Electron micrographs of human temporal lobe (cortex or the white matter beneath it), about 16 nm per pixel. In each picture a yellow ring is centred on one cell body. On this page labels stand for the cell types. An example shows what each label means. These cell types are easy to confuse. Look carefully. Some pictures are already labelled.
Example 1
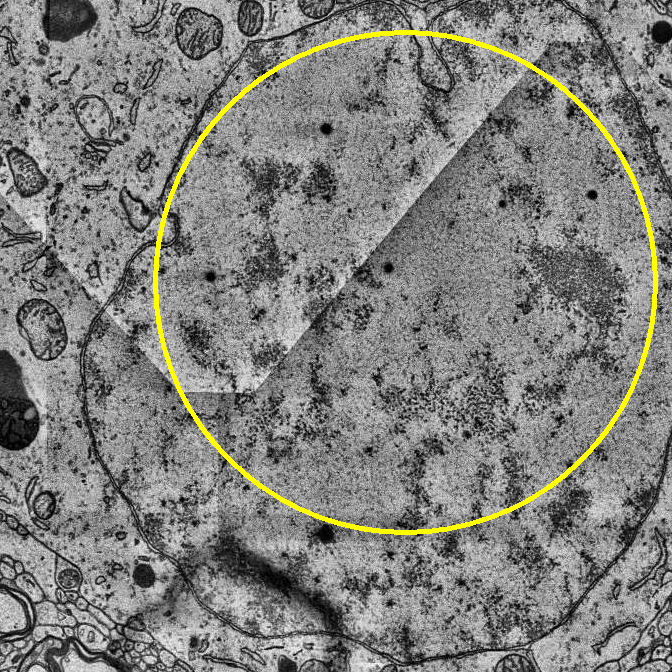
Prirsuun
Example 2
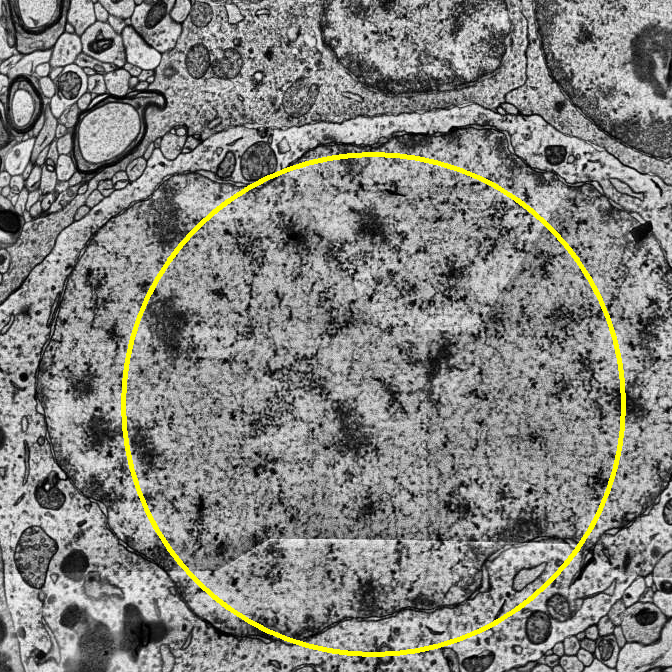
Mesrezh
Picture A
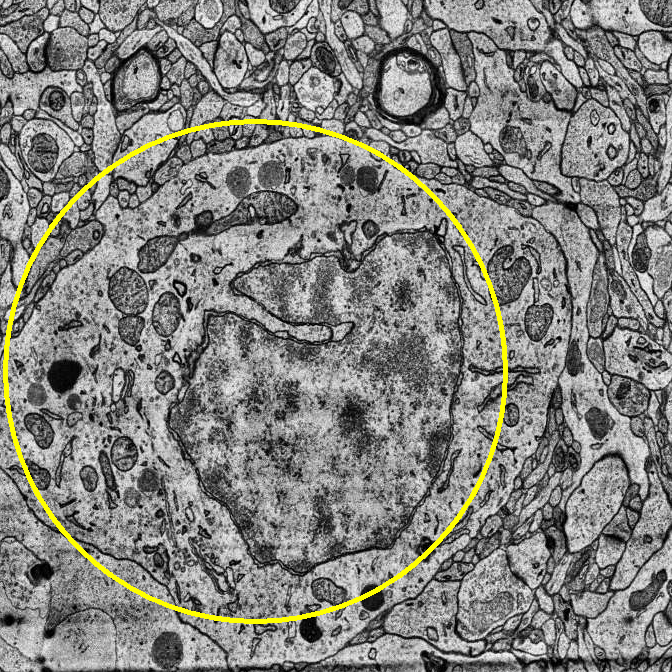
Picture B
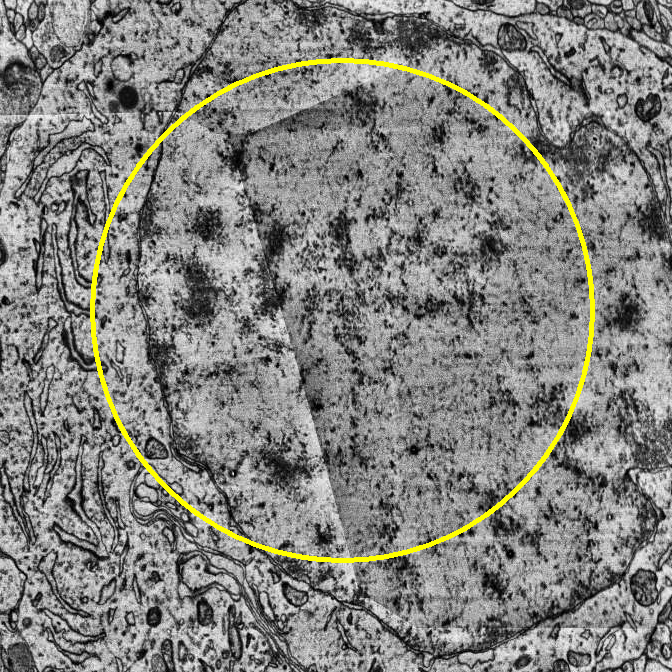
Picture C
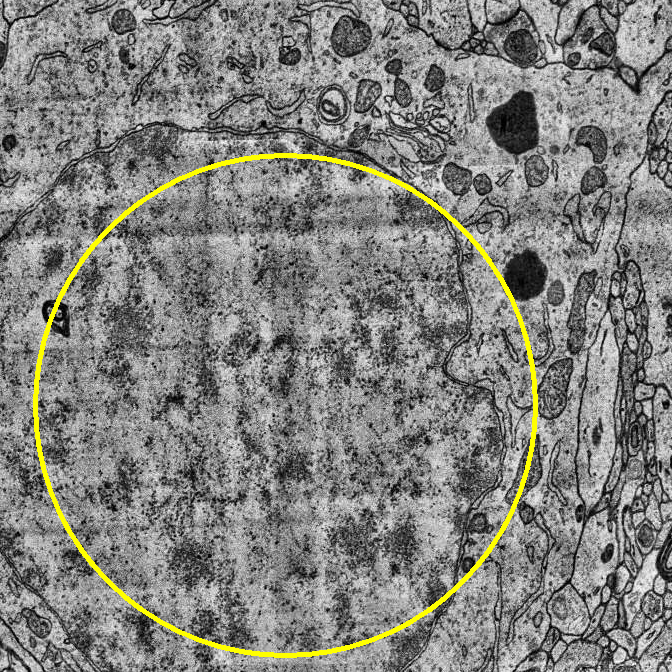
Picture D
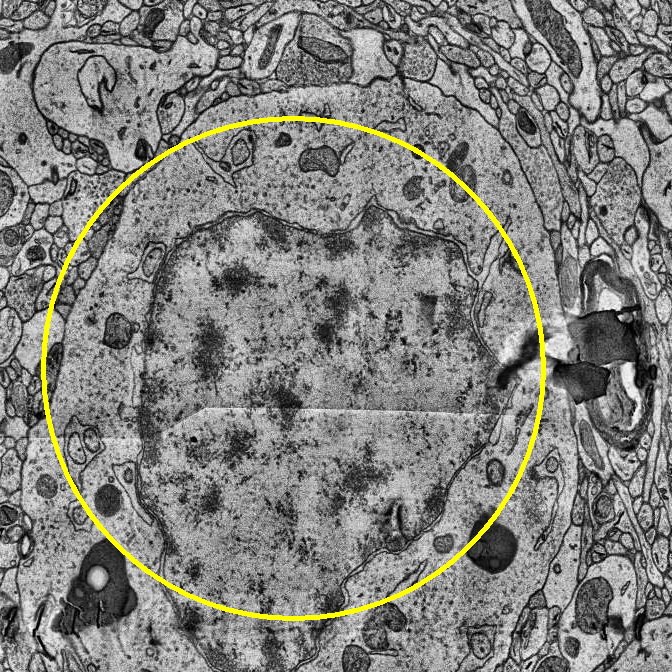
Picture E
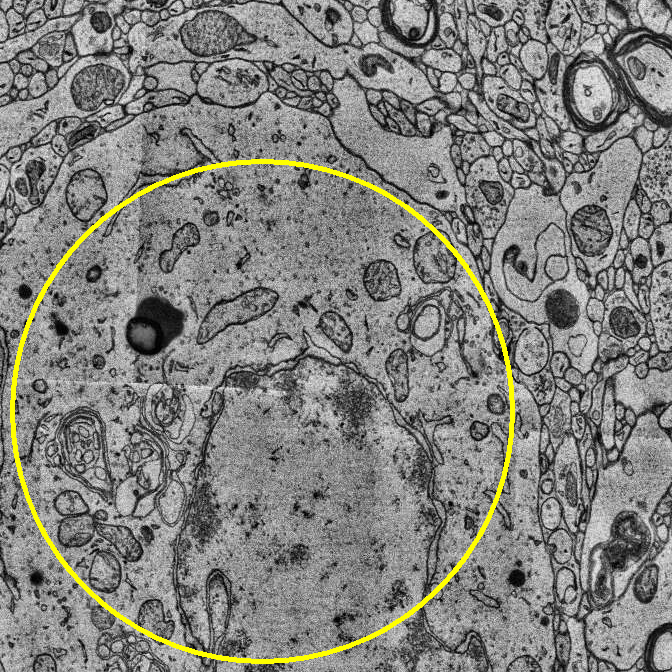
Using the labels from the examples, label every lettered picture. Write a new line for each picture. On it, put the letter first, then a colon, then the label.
A: Mesrezh
B: Mesrezh
C: Mesrezh
D: Mesrezh
E: Mesrezh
